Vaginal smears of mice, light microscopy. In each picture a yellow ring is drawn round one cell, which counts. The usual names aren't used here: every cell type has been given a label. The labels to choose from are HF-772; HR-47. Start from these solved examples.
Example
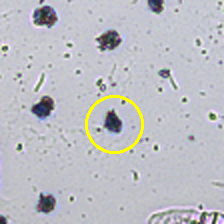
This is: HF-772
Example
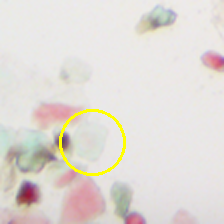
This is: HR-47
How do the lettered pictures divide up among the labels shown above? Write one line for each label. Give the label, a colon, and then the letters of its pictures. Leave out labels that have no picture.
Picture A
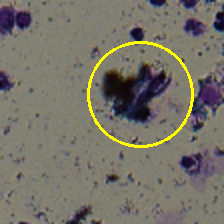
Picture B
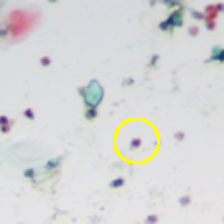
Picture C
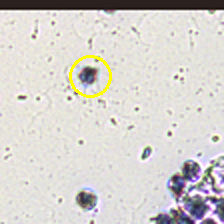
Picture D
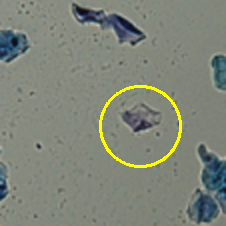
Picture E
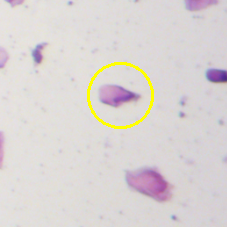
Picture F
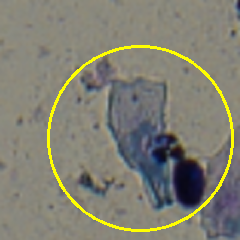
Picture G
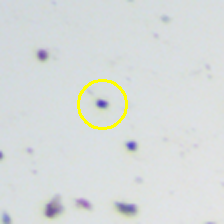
HF-772: B, C, G
HR-47: A, D, E, F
